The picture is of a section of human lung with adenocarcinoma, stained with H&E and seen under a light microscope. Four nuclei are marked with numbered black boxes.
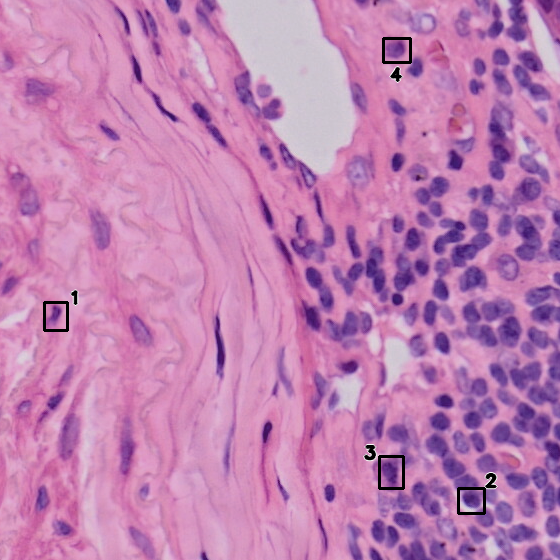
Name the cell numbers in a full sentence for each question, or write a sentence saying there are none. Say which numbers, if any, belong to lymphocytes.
Across all the numbered cells, only number 2 is a lymphocyte.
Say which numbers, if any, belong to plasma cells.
When it comes to cells 3 and 4, they are plasma cells.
